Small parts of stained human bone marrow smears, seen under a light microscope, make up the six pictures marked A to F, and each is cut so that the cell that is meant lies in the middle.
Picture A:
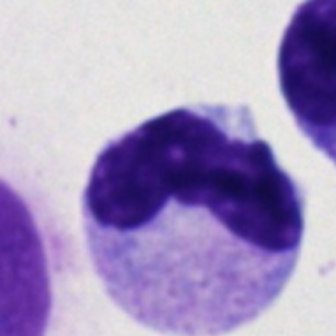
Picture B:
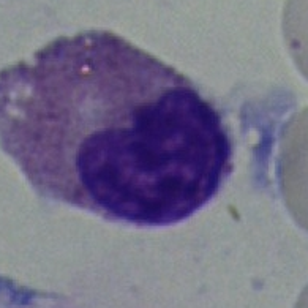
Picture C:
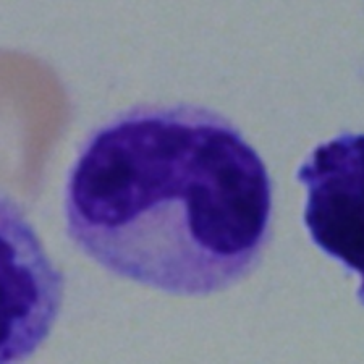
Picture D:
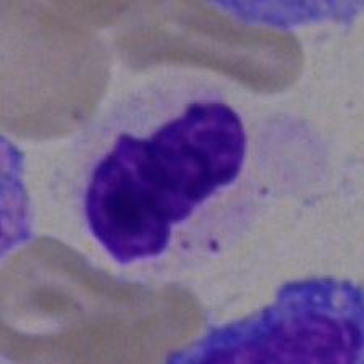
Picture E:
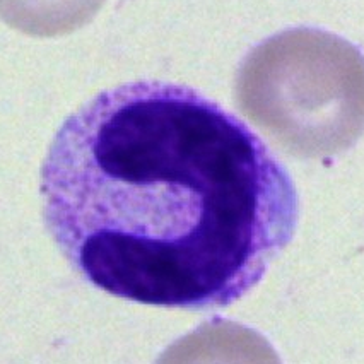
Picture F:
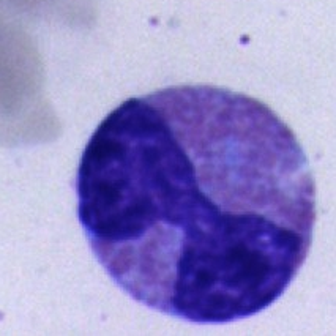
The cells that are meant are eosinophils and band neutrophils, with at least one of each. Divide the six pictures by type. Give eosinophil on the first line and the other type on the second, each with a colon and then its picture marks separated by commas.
eosinophil: B, F
band neutrophil: A, C, D, E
